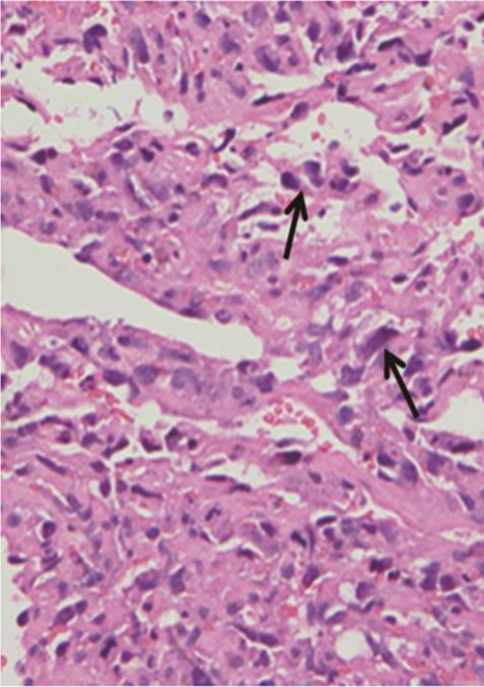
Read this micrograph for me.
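A densely cellular tissue with pink cytoplasm is crossed by irregular, slit-like and branching spaces, some holding small red blood cells. The cells lining and surrounding these channels have large, dark purple, irregular nuclei of varying size, several far darker and bigger than their neighbours. The spaces are poorly shaped rather than round, well-formed vessels. This is a malignant tumor whose frankly atypical cells with hyperchromatic nuclei line poorly formed immature vessels.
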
